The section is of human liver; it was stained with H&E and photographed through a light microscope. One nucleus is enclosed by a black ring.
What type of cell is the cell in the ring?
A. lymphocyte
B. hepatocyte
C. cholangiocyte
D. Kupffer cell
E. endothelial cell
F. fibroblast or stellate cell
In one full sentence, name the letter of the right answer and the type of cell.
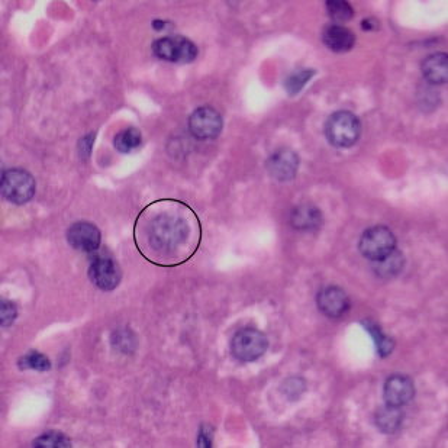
It is as option B has it, the cell in the ring being a hepatocyte.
